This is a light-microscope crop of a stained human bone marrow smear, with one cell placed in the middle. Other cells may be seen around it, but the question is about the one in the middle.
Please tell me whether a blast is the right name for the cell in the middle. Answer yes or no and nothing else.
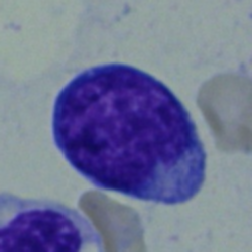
yes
